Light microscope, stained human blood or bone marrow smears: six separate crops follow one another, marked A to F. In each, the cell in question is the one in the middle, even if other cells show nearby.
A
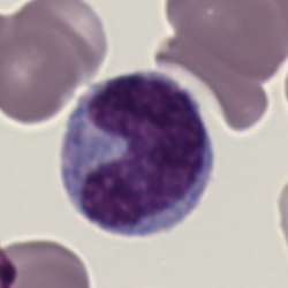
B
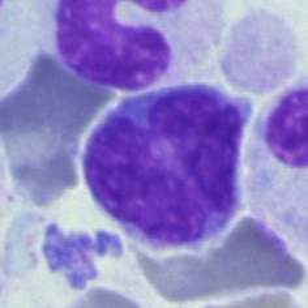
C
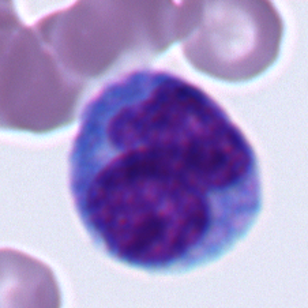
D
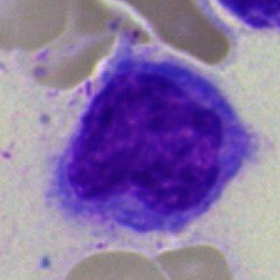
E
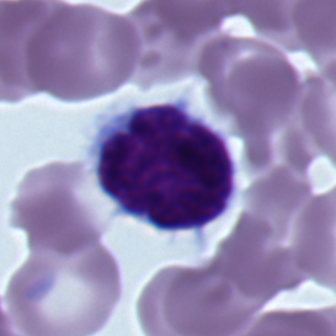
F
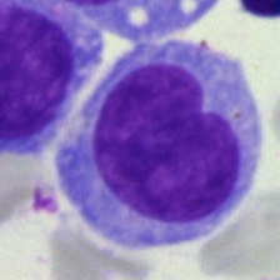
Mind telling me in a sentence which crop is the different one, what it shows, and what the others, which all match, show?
The exception is crop E, with a hairy cell; the remaining crops all show monocytes.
